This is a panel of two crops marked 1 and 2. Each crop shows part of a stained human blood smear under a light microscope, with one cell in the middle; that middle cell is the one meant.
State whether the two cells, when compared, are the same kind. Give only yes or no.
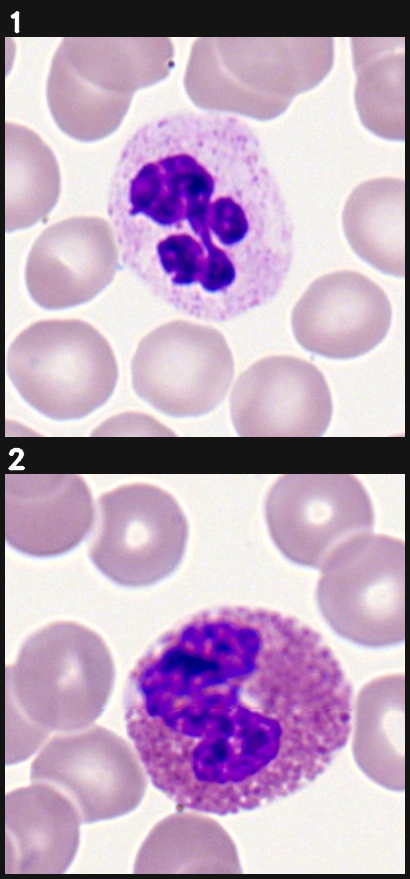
no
